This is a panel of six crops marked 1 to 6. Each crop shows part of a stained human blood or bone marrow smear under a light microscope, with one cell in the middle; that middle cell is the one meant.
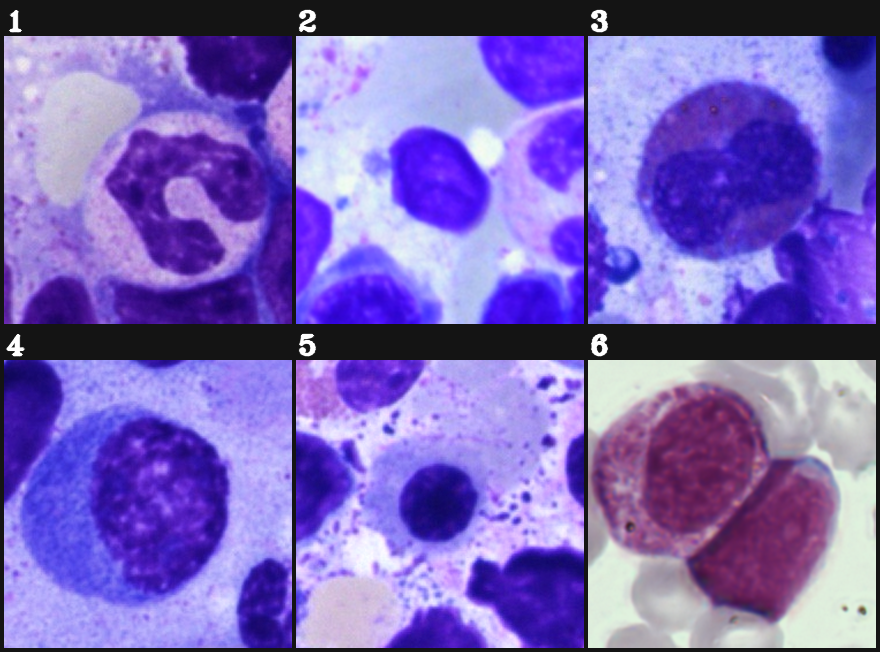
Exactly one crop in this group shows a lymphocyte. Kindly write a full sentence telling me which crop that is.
So the crop with a lymphocyte at its center is crop 2.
